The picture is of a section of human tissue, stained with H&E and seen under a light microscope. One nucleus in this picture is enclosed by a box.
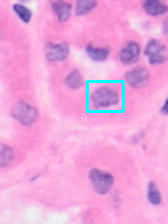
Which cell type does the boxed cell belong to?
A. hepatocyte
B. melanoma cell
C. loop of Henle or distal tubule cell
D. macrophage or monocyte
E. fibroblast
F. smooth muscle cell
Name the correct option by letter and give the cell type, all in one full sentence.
Option C names the boxed cell correctly as a loop of Henle or distal tubule cell.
